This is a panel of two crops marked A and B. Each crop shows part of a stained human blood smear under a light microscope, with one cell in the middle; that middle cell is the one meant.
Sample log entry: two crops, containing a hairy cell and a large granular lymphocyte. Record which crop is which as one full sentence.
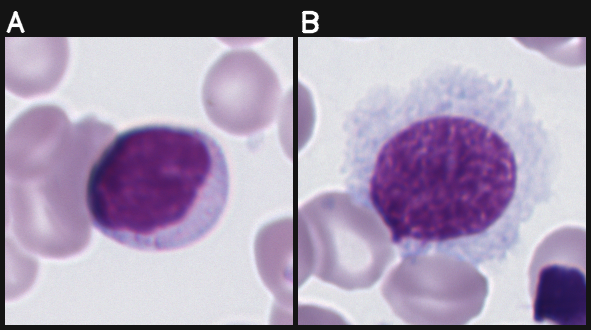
Crop A is designated a large granular lymphocyte, and crop B is designated a hairy cell.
